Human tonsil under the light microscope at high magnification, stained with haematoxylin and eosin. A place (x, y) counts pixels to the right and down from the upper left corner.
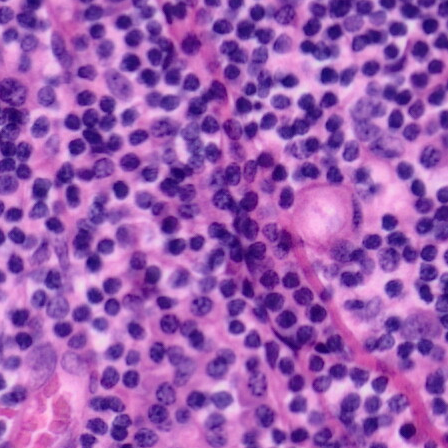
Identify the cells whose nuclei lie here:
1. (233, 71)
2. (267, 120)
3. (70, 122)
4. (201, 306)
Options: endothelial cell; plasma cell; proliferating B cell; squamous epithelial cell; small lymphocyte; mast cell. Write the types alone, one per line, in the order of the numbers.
small lymphocyte
small lymphocyte
small lymphocyte
plasma cell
